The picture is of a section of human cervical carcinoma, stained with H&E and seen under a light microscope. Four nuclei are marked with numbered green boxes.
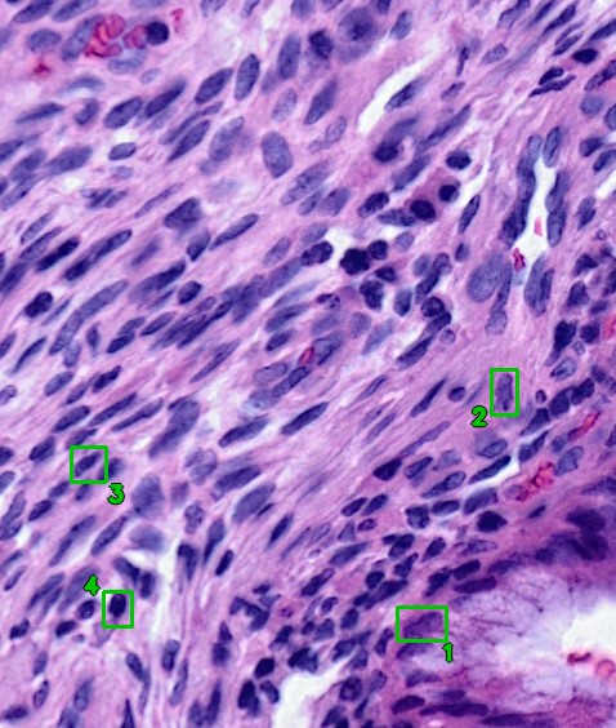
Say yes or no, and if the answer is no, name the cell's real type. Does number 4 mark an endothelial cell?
No, it is a lymphocyte.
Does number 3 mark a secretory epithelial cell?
No, it is a fibroblast.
